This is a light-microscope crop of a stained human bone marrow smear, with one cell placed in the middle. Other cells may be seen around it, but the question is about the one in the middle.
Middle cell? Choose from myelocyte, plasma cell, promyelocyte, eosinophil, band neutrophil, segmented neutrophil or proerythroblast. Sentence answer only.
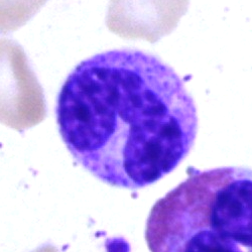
The cell found in the middle of this crop is a band neutrophil.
